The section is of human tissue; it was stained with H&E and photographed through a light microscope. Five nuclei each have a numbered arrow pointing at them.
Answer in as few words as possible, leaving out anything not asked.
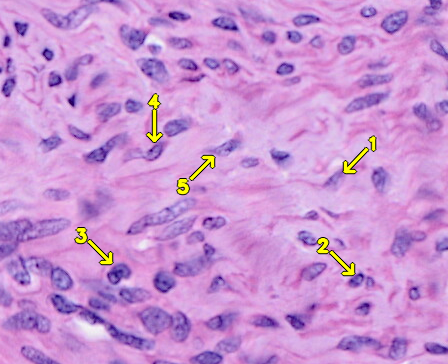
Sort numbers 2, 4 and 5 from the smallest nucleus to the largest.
2, 4, 5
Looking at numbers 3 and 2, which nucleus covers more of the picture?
3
